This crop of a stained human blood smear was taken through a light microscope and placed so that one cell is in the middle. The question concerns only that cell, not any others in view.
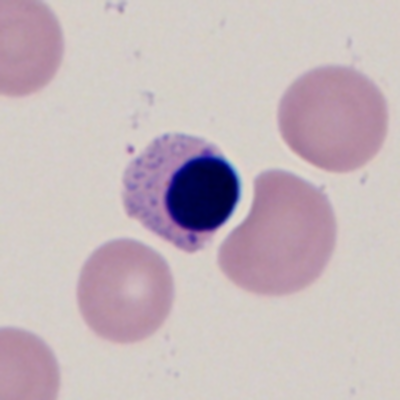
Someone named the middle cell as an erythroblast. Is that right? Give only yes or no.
yes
